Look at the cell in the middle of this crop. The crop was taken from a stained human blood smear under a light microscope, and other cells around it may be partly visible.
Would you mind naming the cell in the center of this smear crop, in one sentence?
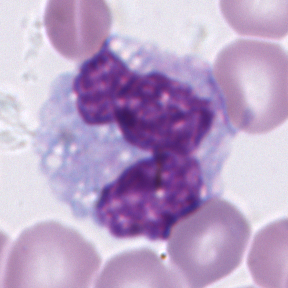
The cell at the middle of the frame should be recorded as a monocyte.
